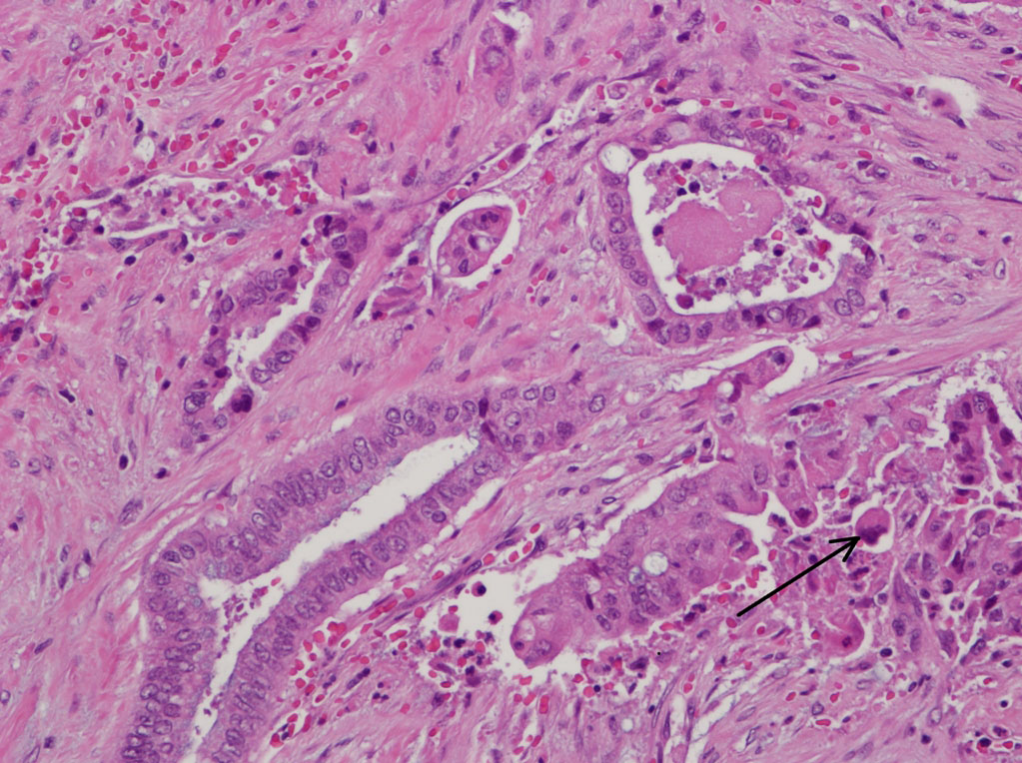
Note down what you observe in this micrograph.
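This is a gland-forming tumor: irregular, angulated glands are scattered through a dense pink fibrous stroma that also holds many red blood cells. The glands are lined by tall columnar cells with pink cytoplasm and enlarged, oval, darkly stained nuclei that crowd and pile up along the lining. Some gland lumina are filled with pink debris and shed cells. Toward the lower right, the gland pattern breaks up, and single rounded cells with dark nuclei lie loose in the tissue, apart from any gland.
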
